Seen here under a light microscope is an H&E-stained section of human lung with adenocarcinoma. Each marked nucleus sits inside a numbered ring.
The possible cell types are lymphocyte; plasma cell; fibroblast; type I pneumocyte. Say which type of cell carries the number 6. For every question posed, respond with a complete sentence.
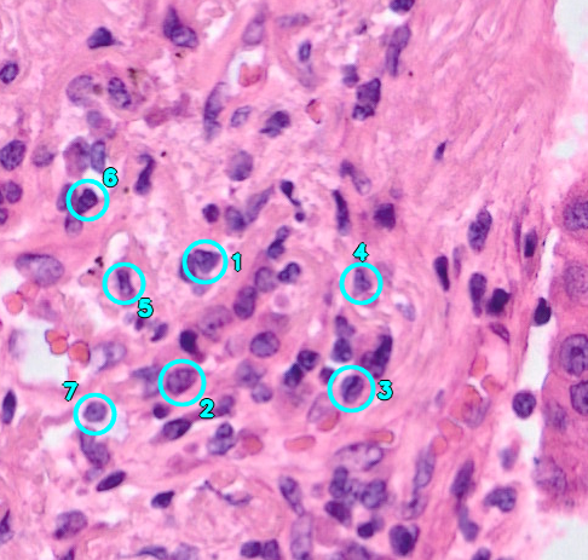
Cell 6 is classified as a lymphocyte.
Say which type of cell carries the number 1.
The cell referenced by the number 1 is a lymphocyte in this field.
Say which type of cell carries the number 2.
The marked cell bearing number 2 is a plasma cell.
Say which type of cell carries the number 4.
Heads up, the cell numbered 4 is a plasma cell.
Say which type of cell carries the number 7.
The cell that carries the label 7 is a lymphocyte.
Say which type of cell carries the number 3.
It is as a lymphocyte that the cell numbered 3 is identified.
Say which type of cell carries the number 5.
Cell number 5 in this section is a plasma cell.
